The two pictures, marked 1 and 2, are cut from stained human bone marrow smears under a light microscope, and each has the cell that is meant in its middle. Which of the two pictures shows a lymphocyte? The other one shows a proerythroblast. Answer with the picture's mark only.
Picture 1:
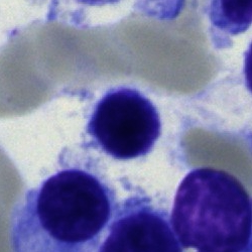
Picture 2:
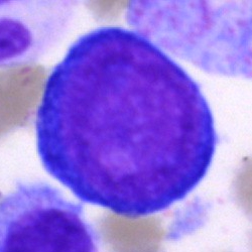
1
